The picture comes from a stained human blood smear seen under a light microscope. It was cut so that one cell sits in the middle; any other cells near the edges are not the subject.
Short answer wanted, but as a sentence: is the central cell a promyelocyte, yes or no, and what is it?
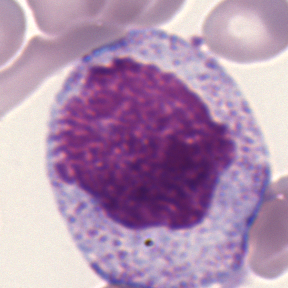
Yes, what sits in the centre of the crop is a promyelocyte.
